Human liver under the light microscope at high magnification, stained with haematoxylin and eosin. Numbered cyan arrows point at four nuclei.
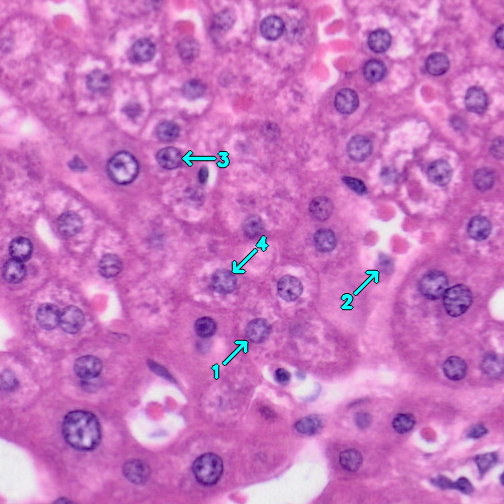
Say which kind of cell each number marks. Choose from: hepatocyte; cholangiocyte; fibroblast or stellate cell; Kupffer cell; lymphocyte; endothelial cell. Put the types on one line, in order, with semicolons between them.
hepatocyte; Kupffer cell; hepatocyte; hepatocyte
